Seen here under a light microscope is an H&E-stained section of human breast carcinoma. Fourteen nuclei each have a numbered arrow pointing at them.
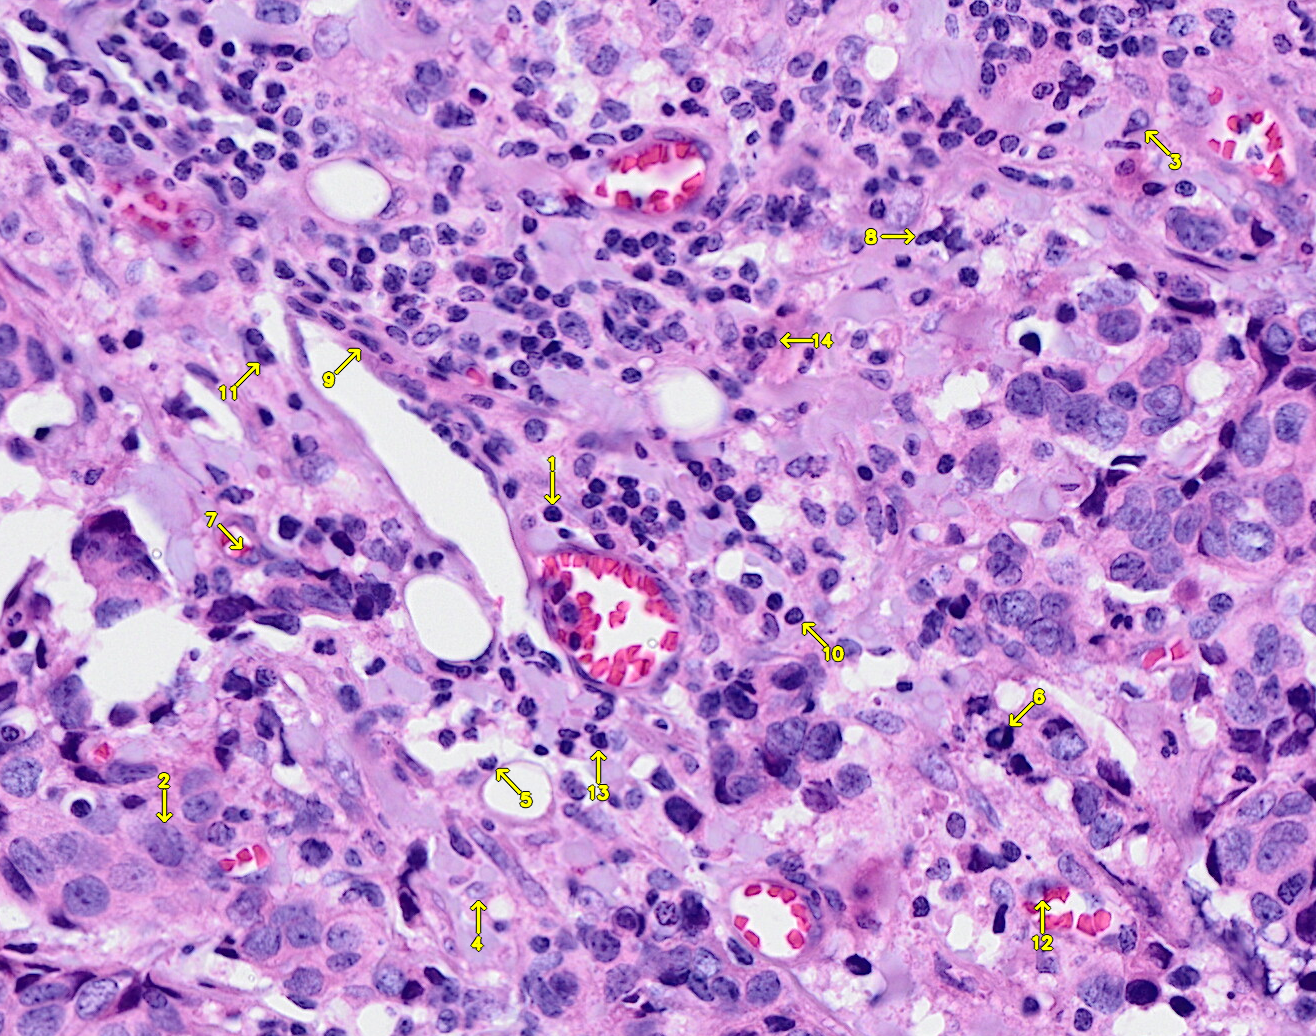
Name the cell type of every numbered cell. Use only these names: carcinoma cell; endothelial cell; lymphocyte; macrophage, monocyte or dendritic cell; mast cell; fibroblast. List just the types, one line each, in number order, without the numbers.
lymphocyte
carcinoma cell
macrophage, monocyte or dendritic cell
macrophage, monocyte or dendritic cell
lymphocyte
carcinoma cell
endothelial cell
lymphocyte
lymphocyte
lymphocyte
lymphocyte
endothelial cell
lymphocyte
lymphocyte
